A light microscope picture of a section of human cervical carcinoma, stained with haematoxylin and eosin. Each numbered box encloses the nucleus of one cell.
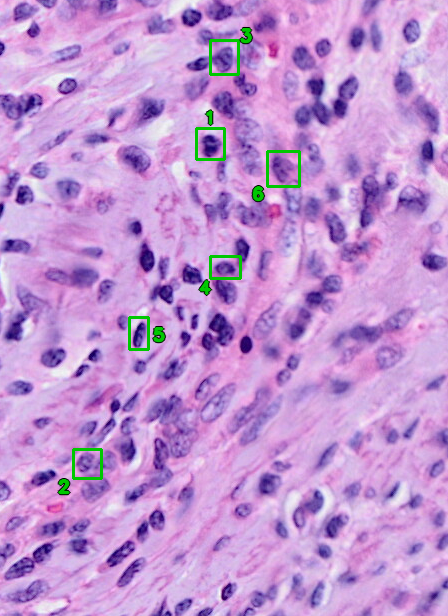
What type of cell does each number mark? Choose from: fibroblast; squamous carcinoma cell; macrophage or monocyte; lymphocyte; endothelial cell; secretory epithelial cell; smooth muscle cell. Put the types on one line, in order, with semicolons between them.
lymphocyte; endothelial cell; lymphocyte; lymphocyte; lymphocyte; endothelial cell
